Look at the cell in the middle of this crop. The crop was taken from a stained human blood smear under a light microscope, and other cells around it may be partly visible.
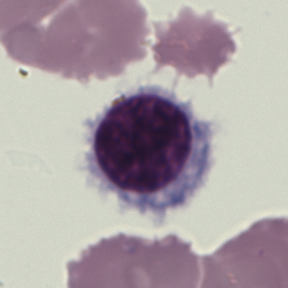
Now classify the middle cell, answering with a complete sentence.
The central cell shown in this smear crop is a hairy cell.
